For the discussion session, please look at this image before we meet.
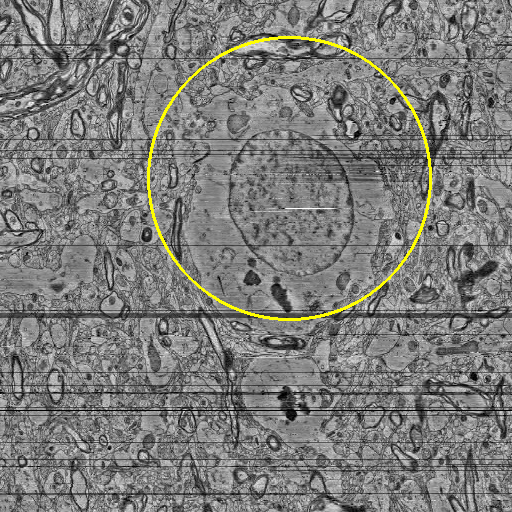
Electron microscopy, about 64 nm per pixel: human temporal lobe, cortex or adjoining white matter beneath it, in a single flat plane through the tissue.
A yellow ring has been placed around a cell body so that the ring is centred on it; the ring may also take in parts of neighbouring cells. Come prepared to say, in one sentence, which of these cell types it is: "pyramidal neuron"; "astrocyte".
The cell centred in the ring is an astrocyte.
